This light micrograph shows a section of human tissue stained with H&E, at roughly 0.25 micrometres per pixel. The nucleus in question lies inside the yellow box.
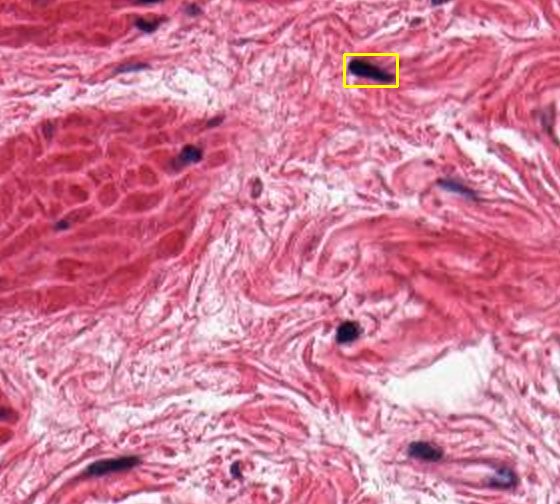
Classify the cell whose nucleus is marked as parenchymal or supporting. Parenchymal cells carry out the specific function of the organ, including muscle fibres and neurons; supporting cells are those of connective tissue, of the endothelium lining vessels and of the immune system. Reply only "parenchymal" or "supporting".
supporting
